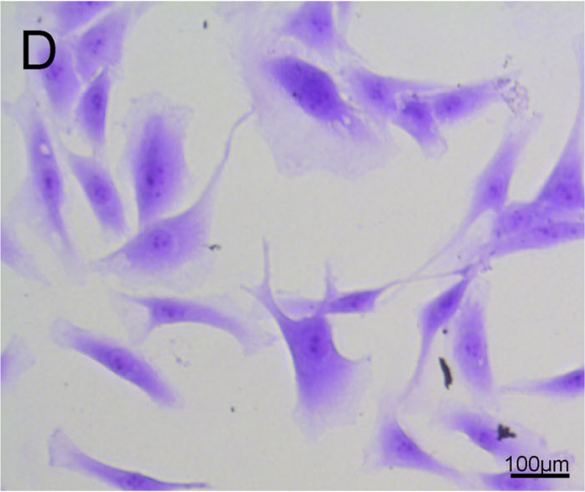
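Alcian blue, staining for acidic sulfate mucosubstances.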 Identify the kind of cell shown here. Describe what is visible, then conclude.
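Cytoplasm stains purple-violet. Cells are polygonal or spindle-shaped, with irregular edges. Oval nuclei contain dark nucleoli.
Conclusion: Chondrocytes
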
